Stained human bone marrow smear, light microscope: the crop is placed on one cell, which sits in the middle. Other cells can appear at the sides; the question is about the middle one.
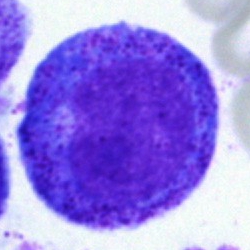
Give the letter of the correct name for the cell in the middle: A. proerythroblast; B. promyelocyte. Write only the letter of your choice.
B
